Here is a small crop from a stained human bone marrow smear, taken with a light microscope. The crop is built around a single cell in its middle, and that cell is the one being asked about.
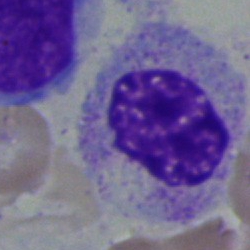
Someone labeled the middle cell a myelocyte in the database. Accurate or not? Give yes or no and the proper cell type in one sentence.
Yes, the cell at the middle of the field is to be classed as a myelocyte.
